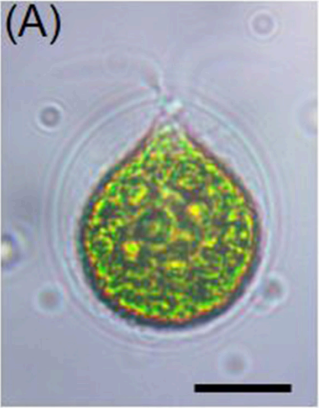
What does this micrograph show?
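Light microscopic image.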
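A single green vegetative motile cell of a unicellular green alga, pear-shaped and tapering to a pointed anterior end from which fine flagella project. The green protoplast sits inside a wide, clear envelope that stands well away from it.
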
